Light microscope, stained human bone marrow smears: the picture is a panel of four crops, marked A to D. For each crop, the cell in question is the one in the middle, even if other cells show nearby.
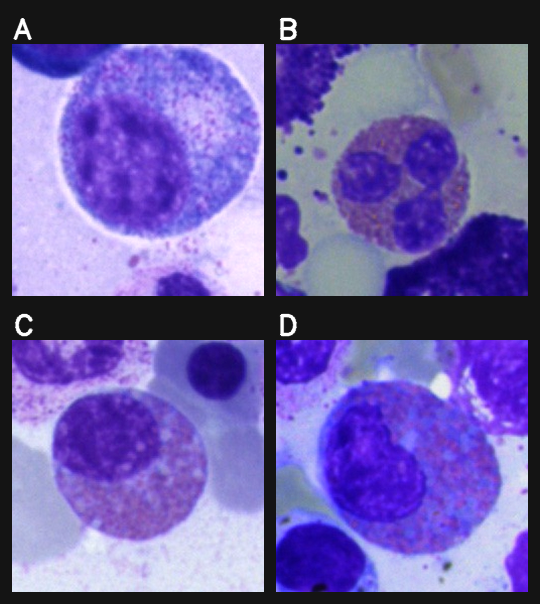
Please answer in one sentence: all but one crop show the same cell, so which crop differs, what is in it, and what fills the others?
Crop A is a promyelocyte, unlike the other crops, which all show eosinophils.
